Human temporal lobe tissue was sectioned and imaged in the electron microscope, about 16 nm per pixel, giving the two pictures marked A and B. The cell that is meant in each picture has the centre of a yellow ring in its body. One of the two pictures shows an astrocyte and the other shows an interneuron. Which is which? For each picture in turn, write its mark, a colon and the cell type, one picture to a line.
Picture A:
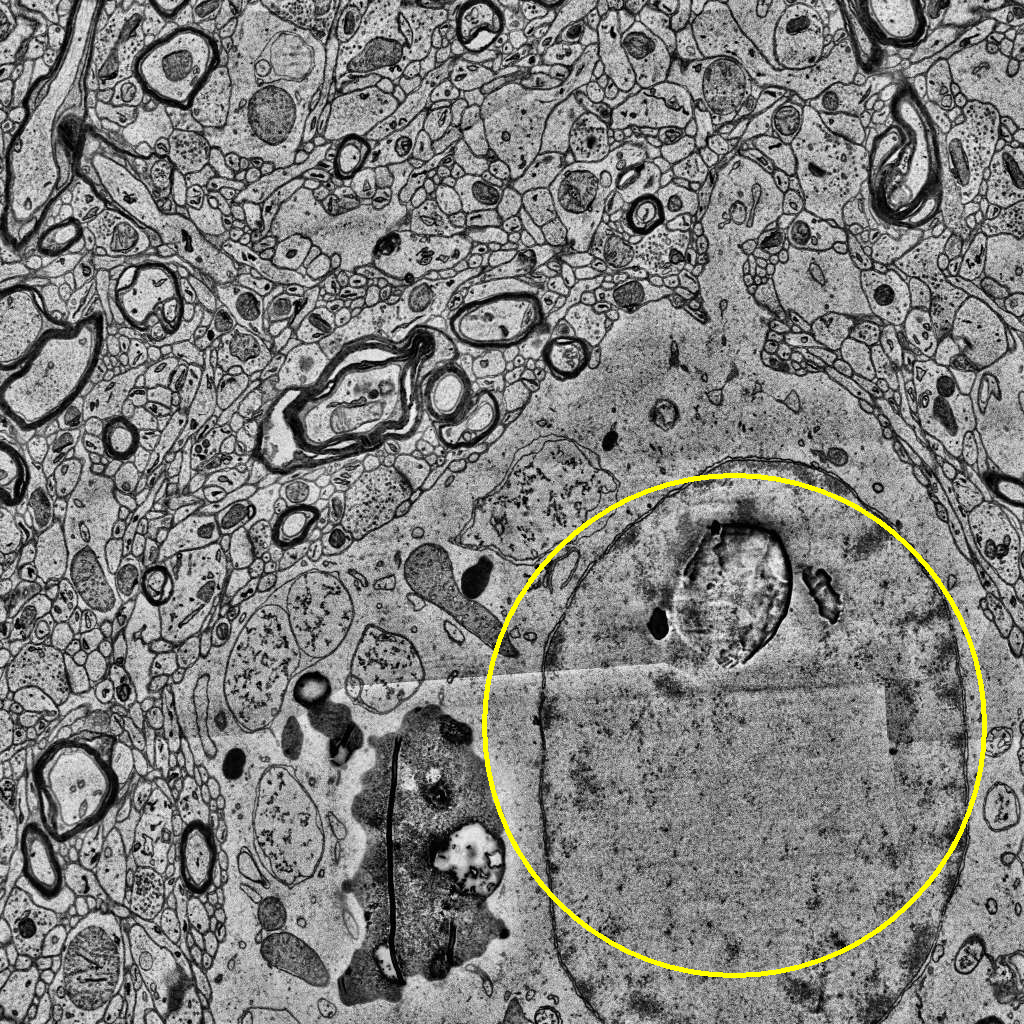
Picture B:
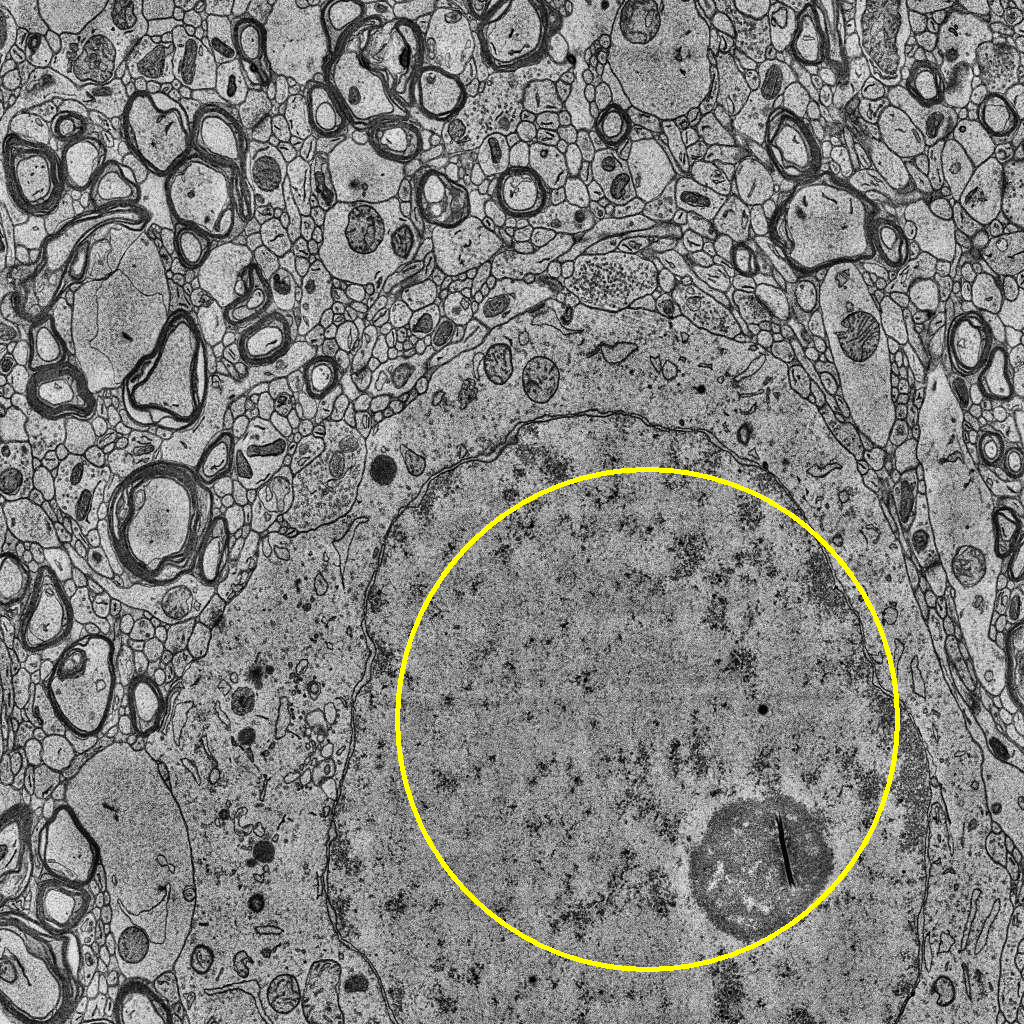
A: astrocyte
B: interneuron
